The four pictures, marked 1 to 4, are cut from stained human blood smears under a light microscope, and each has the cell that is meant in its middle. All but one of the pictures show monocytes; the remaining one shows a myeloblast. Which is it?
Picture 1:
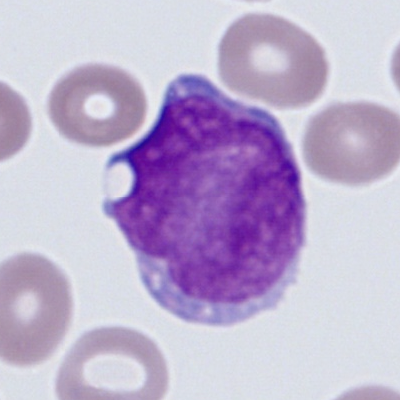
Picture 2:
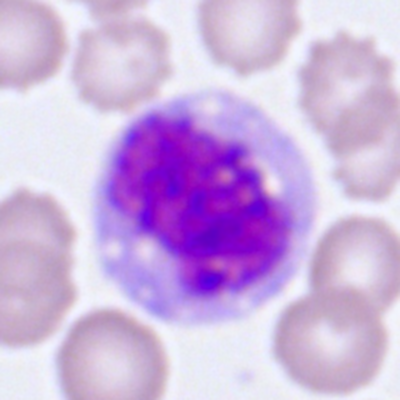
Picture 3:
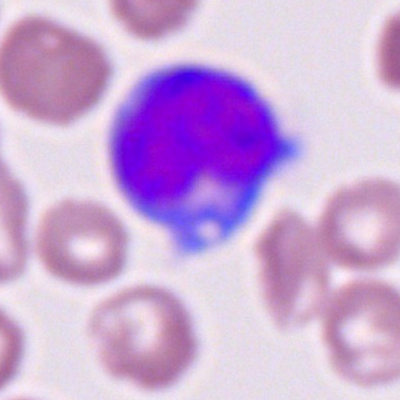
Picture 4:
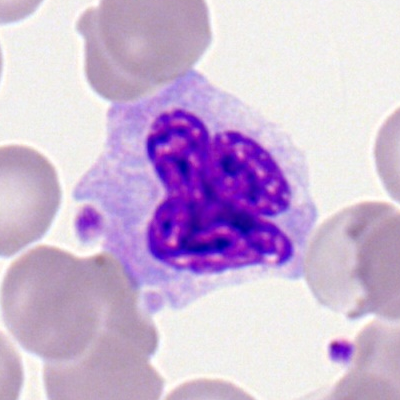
1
